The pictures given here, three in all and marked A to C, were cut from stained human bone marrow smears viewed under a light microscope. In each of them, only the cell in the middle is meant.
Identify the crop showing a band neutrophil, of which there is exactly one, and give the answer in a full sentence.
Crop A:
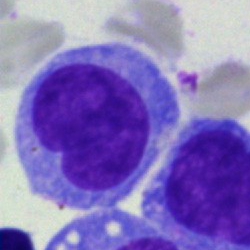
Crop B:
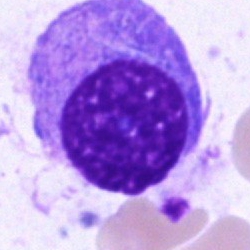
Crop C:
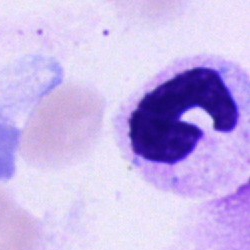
Look at crop C; that is the one with a band neutrophil in its center.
